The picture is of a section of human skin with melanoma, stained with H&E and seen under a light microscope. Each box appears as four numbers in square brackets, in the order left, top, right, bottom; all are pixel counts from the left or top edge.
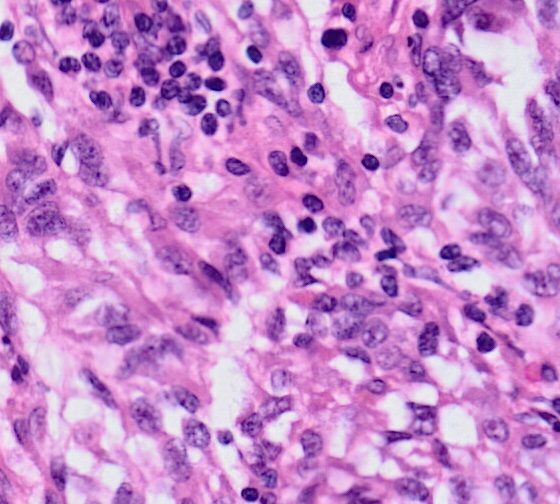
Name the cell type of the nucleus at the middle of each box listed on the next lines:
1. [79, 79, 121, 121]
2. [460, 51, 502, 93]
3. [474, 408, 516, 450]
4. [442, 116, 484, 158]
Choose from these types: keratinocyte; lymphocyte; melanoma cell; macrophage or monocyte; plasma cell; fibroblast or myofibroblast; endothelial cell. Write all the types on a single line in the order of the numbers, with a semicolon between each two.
lymphocyte; melanoma cell; melanoma cell; melanoma cell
